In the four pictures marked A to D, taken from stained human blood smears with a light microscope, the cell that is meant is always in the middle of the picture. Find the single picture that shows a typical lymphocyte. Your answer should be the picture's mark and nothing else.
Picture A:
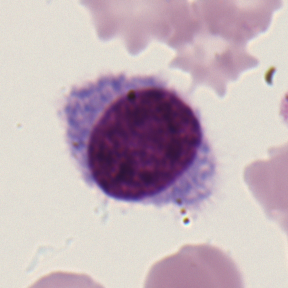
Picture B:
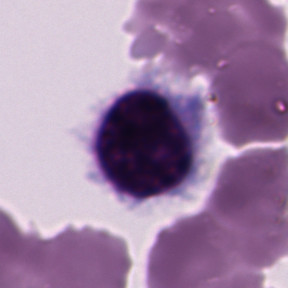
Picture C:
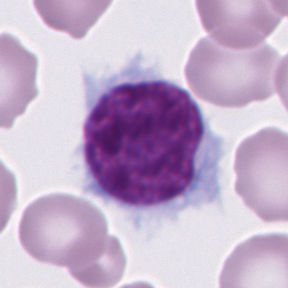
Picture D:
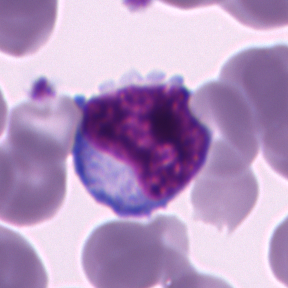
D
